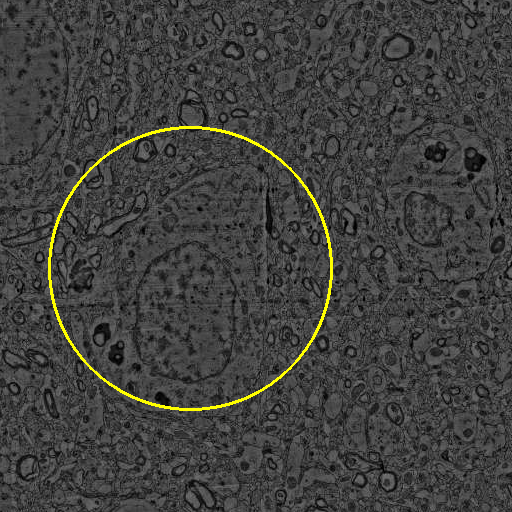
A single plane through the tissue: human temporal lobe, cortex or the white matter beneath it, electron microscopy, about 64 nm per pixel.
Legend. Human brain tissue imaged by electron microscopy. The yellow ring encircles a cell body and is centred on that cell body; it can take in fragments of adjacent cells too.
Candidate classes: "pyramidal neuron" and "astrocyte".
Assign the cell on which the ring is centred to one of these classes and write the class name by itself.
pyramidal neuron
